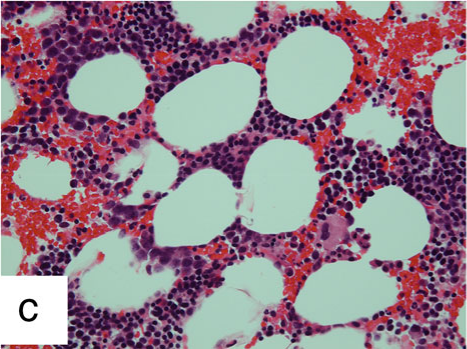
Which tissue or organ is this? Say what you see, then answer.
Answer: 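Bone marrow. Large, clear, rounded fat-cell spaces. Densely packed small cells with round dark nuclei between the fat spaces. Red blood cells among the packed cells.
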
